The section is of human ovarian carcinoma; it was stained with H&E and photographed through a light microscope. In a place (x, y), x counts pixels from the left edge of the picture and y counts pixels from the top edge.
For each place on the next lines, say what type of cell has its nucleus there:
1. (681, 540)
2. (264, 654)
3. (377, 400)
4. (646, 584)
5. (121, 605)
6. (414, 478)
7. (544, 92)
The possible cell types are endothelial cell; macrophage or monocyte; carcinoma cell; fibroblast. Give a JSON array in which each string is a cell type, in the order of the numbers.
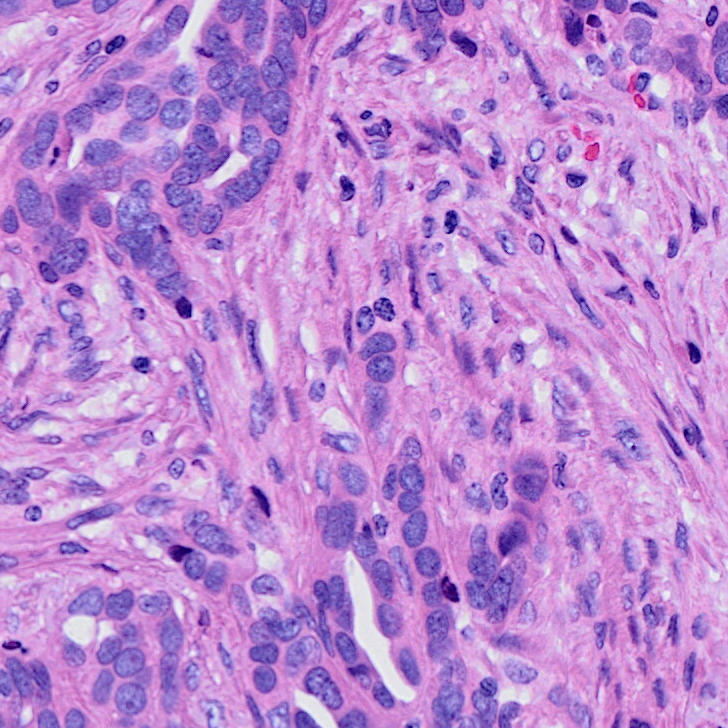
["fibroblast", "carcinoma cell", "carcinoma cell", "fibroblast", "carcinoma cell", "carcinoma cell", "fibroblast"]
